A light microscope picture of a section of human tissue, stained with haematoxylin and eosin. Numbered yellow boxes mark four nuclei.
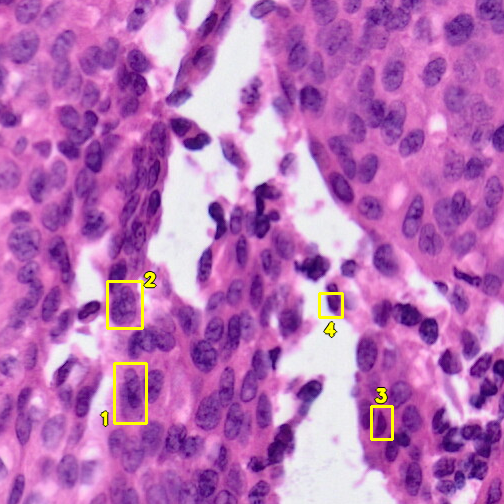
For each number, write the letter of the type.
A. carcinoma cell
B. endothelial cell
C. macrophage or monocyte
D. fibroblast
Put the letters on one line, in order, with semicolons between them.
A; A; A; C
